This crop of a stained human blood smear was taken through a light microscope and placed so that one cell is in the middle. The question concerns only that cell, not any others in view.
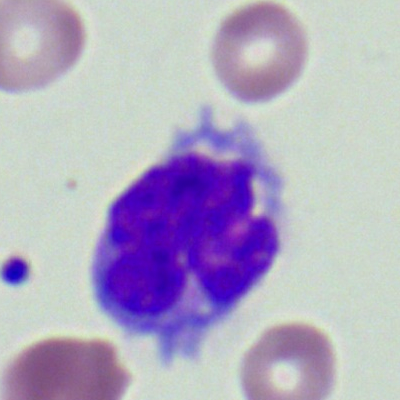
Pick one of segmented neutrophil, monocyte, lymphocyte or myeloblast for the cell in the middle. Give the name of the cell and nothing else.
monocyte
